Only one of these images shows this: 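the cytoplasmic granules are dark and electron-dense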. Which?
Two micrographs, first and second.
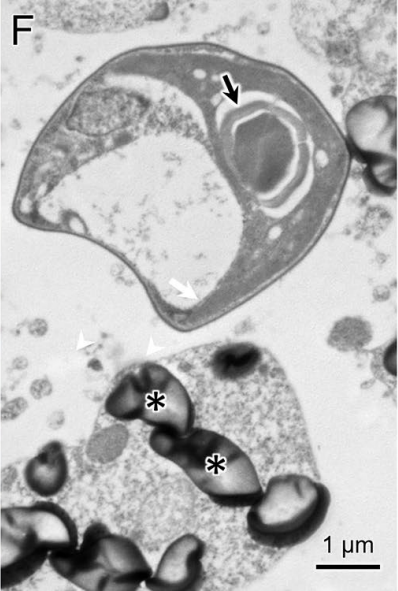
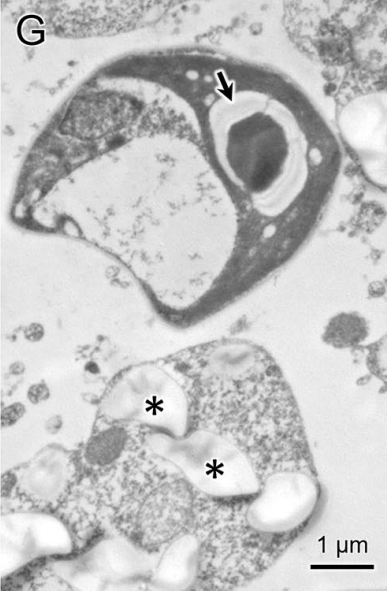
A: The first image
